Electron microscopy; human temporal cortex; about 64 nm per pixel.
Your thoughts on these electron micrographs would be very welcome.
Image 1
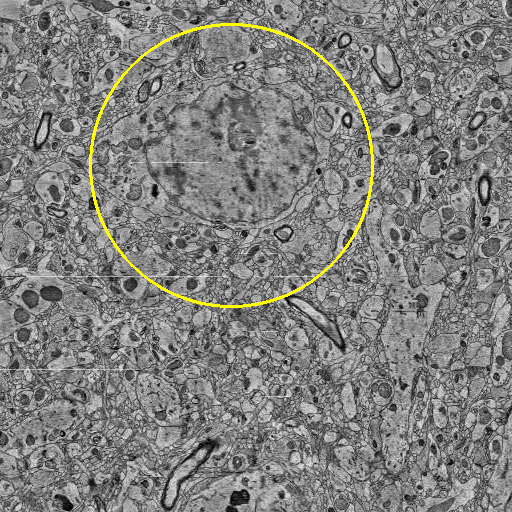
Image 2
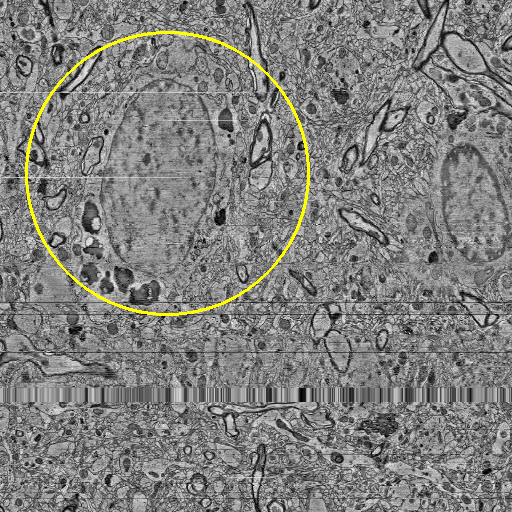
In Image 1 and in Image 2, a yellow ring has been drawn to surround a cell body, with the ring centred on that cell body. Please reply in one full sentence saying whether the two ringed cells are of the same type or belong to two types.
The ringed cells in Image 1 and Image 2 are of the same type.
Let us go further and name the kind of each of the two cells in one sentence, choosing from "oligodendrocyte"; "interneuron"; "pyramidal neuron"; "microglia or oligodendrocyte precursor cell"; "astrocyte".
Each one of the two ringed cells is an interneuron.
